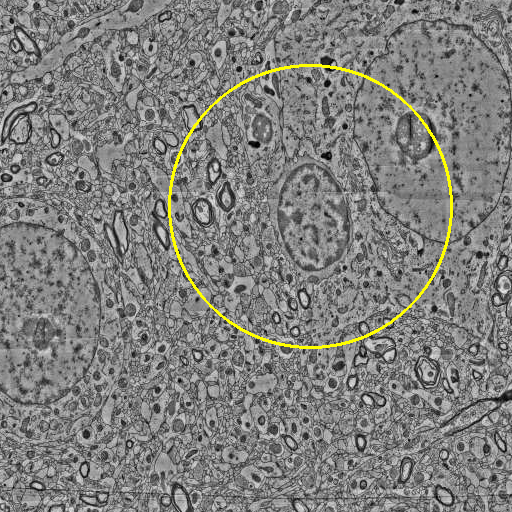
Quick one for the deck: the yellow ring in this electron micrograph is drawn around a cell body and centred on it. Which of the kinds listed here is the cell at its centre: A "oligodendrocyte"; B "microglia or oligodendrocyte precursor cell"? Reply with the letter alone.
A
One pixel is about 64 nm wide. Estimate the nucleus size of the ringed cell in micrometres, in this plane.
Approximately 7 micrometres long and 4 micrometres wide, so clearly longer than it is wide in this plane.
